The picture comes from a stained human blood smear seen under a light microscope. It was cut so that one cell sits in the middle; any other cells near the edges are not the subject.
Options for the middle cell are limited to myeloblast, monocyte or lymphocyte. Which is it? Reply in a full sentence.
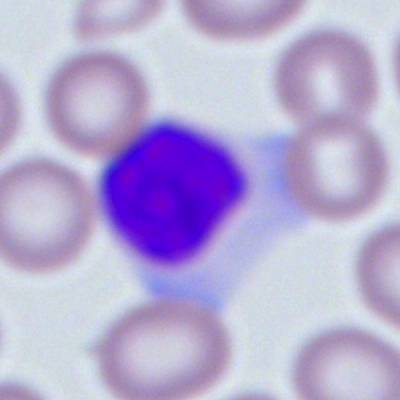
Answering briefly, the cell in the middle is a lymphocyte.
